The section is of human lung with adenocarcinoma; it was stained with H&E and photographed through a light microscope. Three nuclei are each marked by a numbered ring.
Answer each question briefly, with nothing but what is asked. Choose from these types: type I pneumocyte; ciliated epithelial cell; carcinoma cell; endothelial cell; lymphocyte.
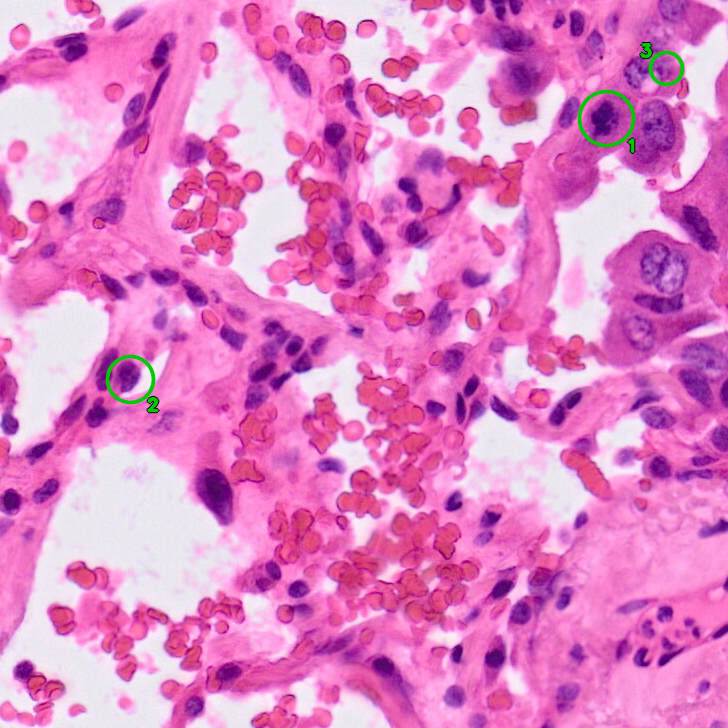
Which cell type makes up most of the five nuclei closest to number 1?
carcinoma cell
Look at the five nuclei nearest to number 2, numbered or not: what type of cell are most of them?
endothelial cell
